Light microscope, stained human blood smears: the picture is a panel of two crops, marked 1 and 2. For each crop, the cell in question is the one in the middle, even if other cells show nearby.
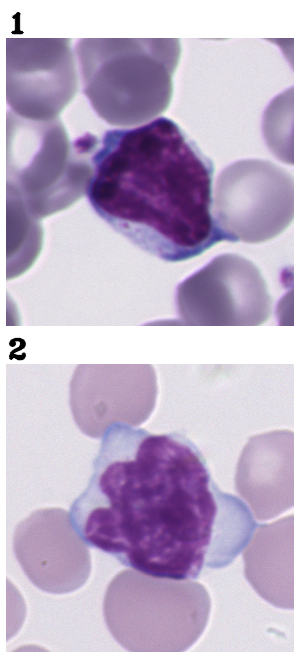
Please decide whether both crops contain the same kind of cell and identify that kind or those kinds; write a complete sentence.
No, crop 1 shows a typical lymphocyte, whereas in crop 2 the cell is a myeloblast.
